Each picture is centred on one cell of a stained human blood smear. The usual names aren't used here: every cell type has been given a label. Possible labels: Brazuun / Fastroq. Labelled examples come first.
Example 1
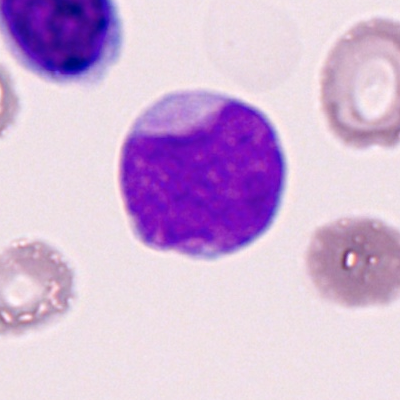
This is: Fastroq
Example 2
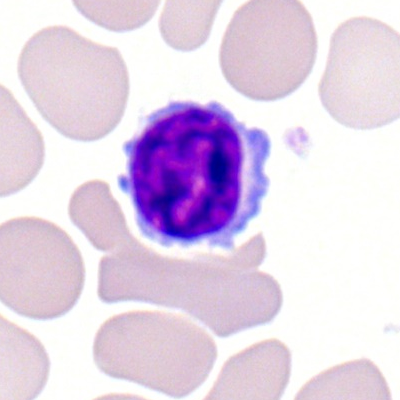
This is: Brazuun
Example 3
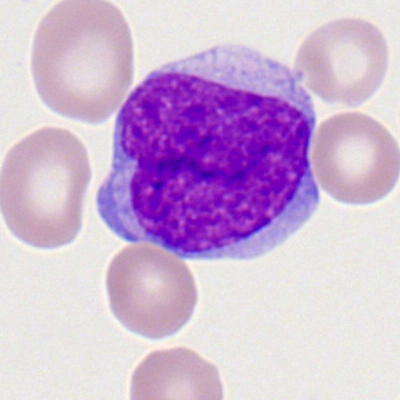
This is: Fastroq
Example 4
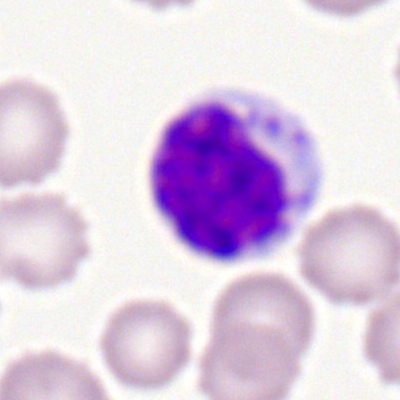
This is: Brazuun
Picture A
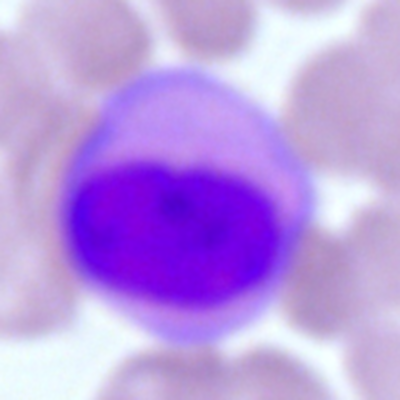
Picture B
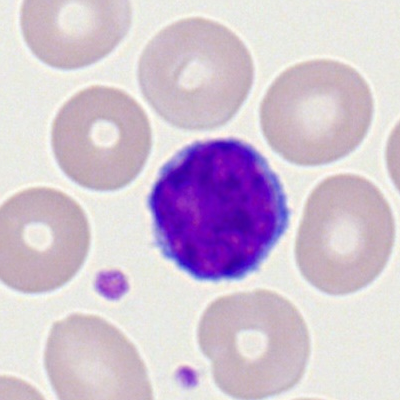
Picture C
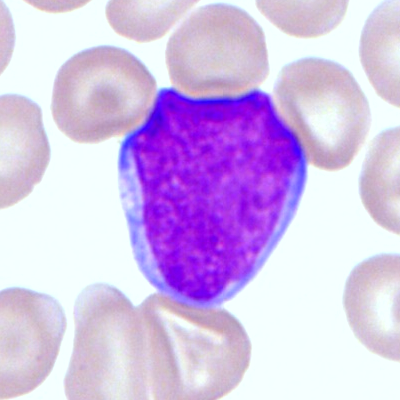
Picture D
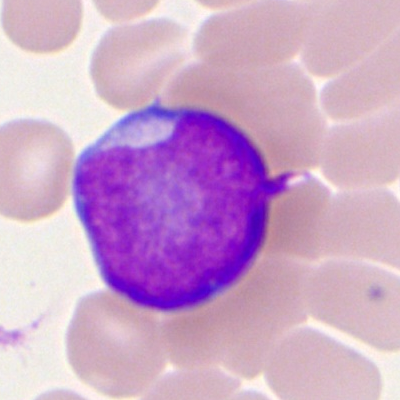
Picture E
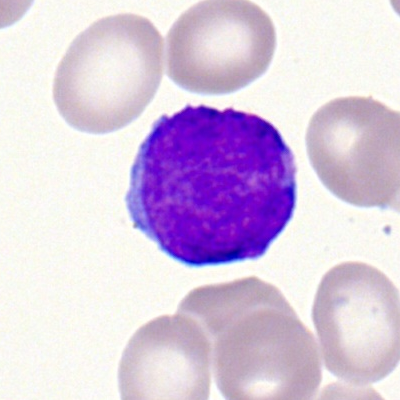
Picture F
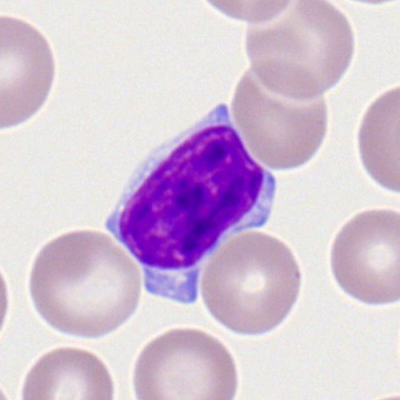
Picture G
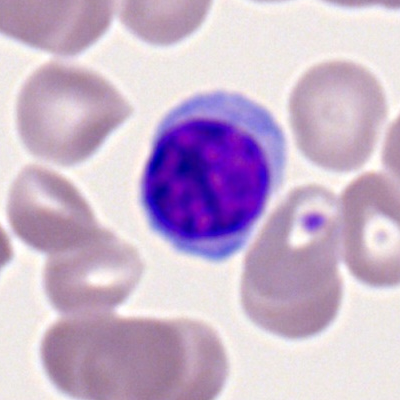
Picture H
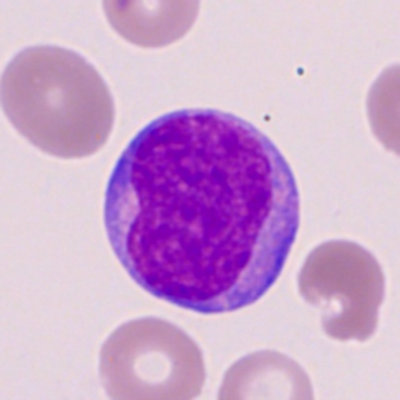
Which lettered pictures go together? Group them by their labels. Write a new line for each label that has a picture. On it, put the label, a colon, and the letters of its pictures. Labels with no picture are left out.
Brazuun: B, F, G
Fastroq: A, C, D, E, H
